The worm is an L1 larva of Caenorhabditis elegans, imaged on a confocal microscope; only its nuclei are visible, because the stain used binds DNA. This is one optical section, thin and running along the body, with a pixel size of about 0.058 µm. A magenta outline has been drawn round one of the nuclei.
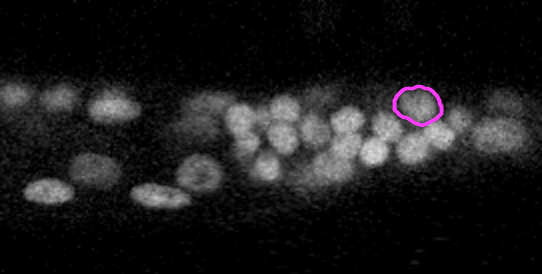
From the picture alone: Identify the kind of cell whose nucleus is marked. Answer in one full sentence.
It belongs to a body wall muscle cell.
